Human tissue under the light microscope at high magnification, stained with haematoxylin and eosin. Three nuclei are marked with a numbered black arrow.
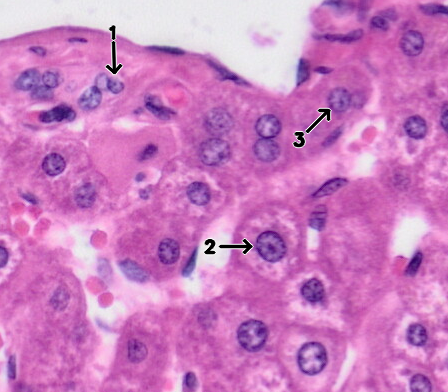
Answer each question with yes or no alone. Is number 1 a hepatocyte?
no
